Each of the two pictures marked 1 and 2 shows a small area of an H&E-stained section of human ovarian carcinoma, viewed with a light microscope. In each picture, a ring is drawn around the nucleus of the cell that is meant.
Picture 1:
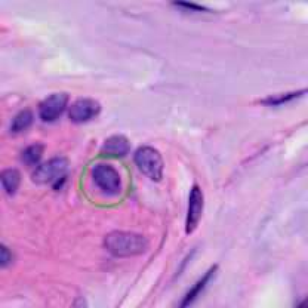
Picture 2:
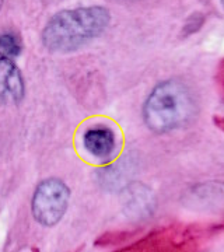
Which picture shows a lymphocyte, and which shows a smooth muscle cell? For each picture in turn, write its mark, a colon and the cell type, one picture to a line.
1: smooth muscle cell
2: lymphocyte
